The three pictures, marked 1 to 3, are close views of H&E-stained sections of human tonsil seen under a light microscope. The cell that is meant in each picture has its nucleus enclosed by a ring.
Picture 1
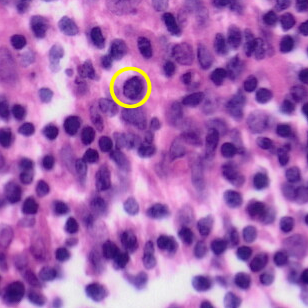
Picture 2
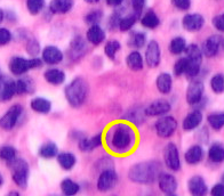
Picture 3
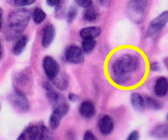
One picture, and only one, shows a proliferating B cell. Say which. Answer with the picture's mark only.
1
